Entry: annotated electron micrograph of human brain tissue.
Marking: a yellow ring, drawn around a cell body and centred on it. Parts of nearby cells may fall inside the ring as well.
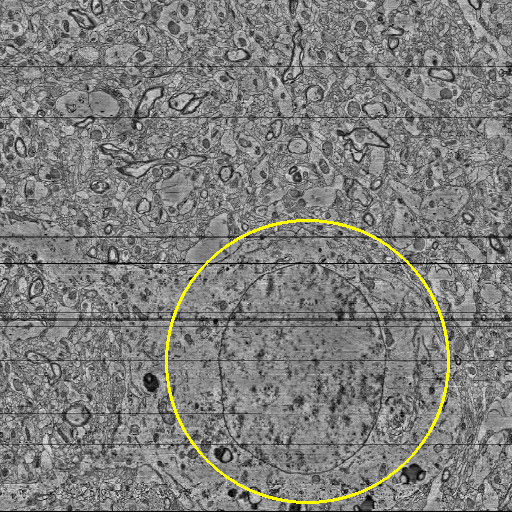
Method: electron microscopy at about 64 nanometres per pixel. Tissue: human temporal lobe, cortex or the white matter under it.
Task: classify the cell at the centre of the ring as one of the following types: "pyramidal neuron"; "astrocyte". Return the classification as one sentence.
The marked cell is classified as a pyramidal neuron.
